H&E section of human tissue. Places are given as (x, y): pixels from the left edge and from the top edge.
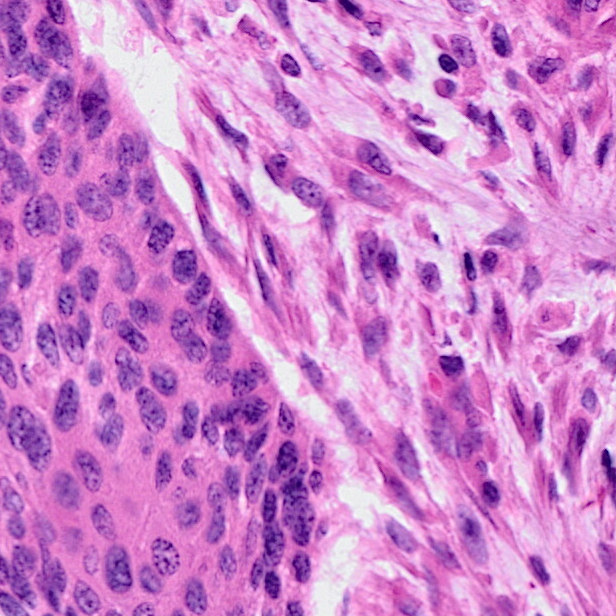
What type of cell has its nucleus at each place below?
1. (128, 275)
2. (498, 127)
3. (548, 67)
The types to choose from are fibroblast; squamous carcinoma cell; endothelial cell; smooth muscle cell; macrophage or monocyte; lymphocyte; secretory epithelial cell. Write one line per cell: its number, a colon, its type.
1: squamous carcinoma cell
2: fibroblast
3: macrophage or monocyte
